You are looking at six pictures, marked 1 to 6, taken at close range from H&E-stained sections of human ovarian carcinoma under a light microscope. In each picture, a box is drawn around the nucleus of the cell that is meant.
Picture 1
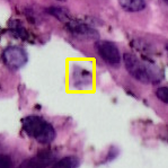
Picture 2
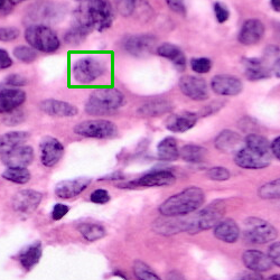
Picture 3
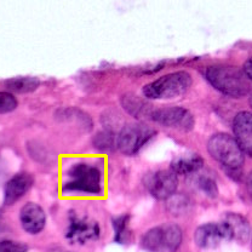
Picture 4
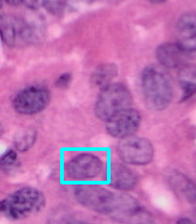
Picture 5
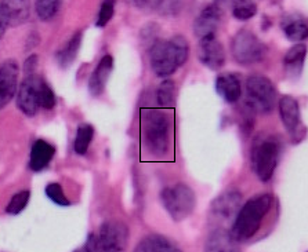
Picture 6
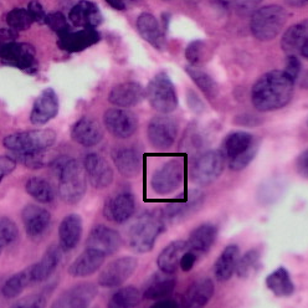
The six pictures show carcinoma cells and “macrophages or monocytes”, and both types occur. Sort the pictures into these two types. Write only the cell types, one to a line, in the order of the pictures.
macrophage or monocyte
macrophage or monocyte
carcinoma cell
carcinoma cell
carcinoma cell
carcinoma cell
